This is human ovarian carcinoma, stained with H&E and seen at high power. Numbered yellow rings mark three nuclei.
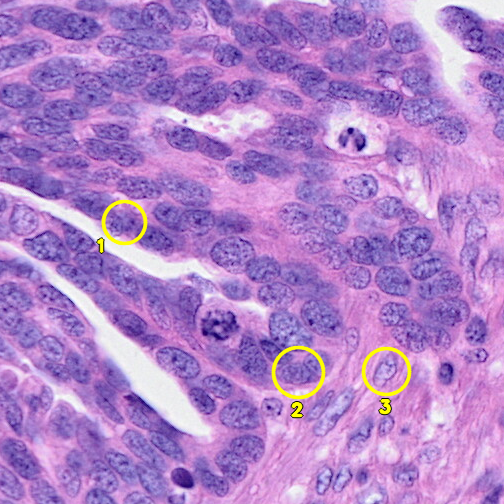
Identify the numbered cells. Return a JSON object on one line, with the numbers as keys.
{"1": "carcinoma cell", "2": "carcinoma cell", "3": "fibroblast"}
